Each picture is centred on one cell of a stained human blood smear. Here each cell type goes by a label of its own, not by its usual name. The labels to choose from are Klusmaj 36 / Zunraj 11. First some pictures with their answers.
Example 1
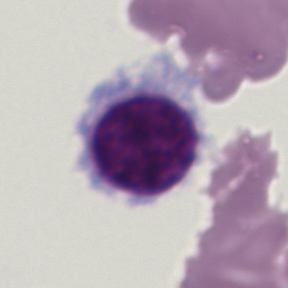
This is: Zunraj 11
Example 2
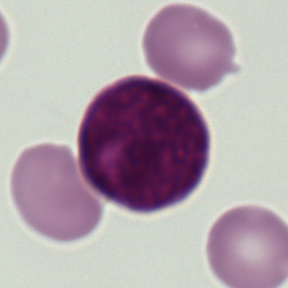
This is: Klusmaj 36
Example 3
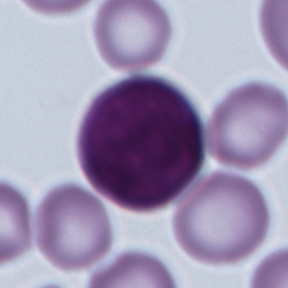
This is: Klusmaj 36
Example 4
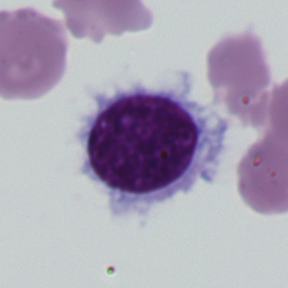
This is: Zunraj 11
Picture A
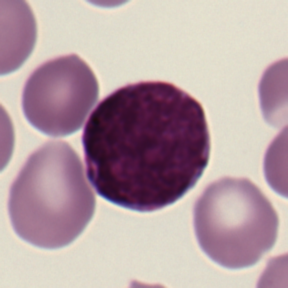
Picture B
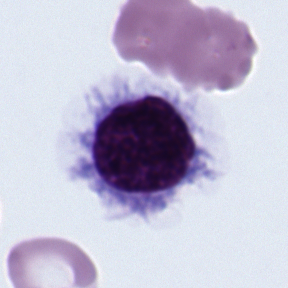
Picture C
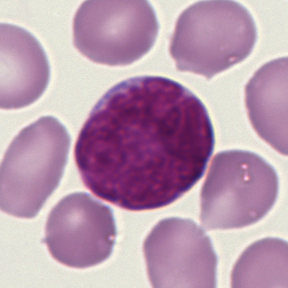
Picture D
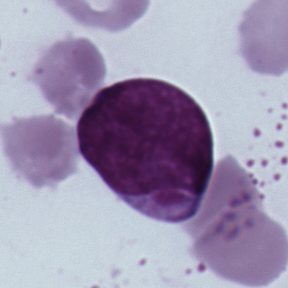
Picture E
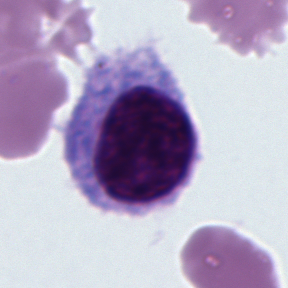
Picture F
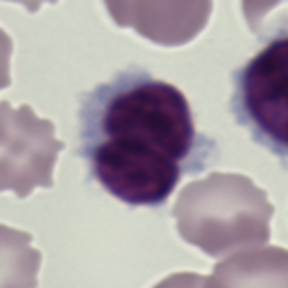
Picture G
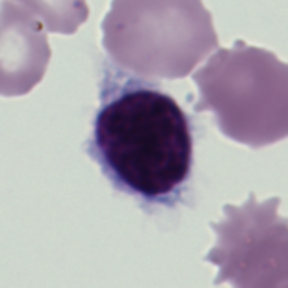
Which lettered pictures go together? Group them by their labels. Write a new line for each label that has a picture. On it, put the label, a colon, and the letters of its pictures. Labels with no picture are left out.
Klusmaj 36: A, C, D
Zunraj 11: B, E, F, G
